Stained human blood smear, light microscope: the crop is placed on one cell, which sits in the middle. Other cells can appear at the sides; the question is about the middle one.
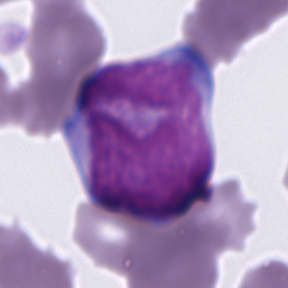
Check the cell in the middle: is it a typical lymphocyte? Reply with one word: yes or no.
no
